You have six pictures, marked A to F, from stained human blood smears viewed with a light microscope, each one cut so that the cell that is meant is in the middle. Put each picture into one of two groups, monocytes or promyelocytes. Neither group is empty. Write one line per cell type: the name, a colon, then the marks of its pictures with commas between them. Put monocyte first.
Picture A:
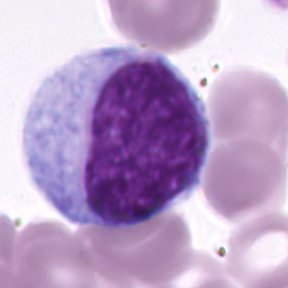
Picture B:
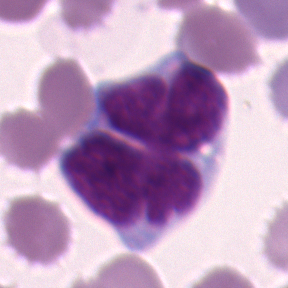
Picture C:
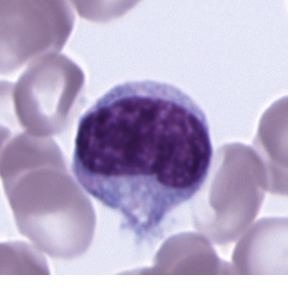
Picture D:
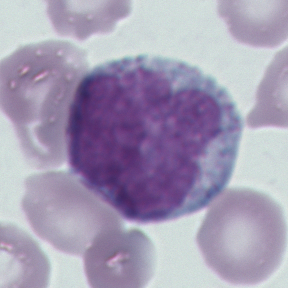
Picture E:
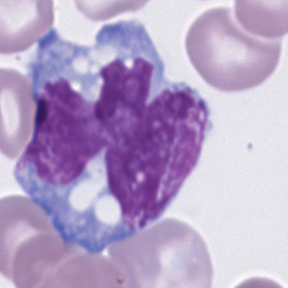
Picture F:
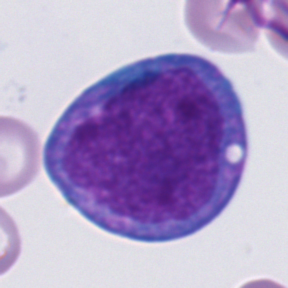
monocyte: B, C, E
promyelocyte: A, D, F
